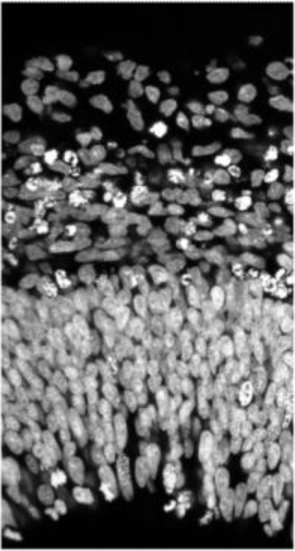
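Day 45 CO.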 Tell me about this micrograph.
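This nuclear stain shows the layered wall of a developing cortex, with a ventricular and subventricular zone below and a cortical plate above. In the lower zone, nuclei are elongated, tightly packed and aligned radially, forming a pseudostratified layer that ends at a smooth surface bordering the dark lumen. Scattered bright, condensed, rounded nuclei lie near that surface. In the upper zone, nuclei are rounder, less tightly packed and irregularly placed, with some bright fragmented-looking nuclei at the junction.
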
